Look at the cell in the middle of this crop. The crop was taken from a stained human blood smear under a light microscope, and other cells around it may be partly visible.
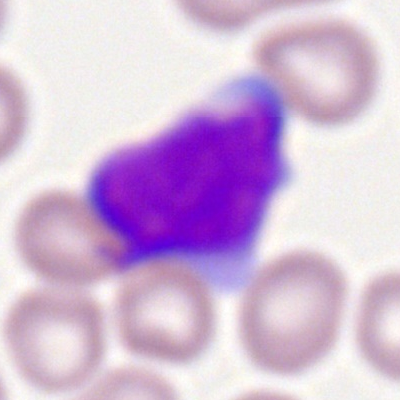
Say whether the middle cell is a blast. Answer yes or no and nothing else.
yes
